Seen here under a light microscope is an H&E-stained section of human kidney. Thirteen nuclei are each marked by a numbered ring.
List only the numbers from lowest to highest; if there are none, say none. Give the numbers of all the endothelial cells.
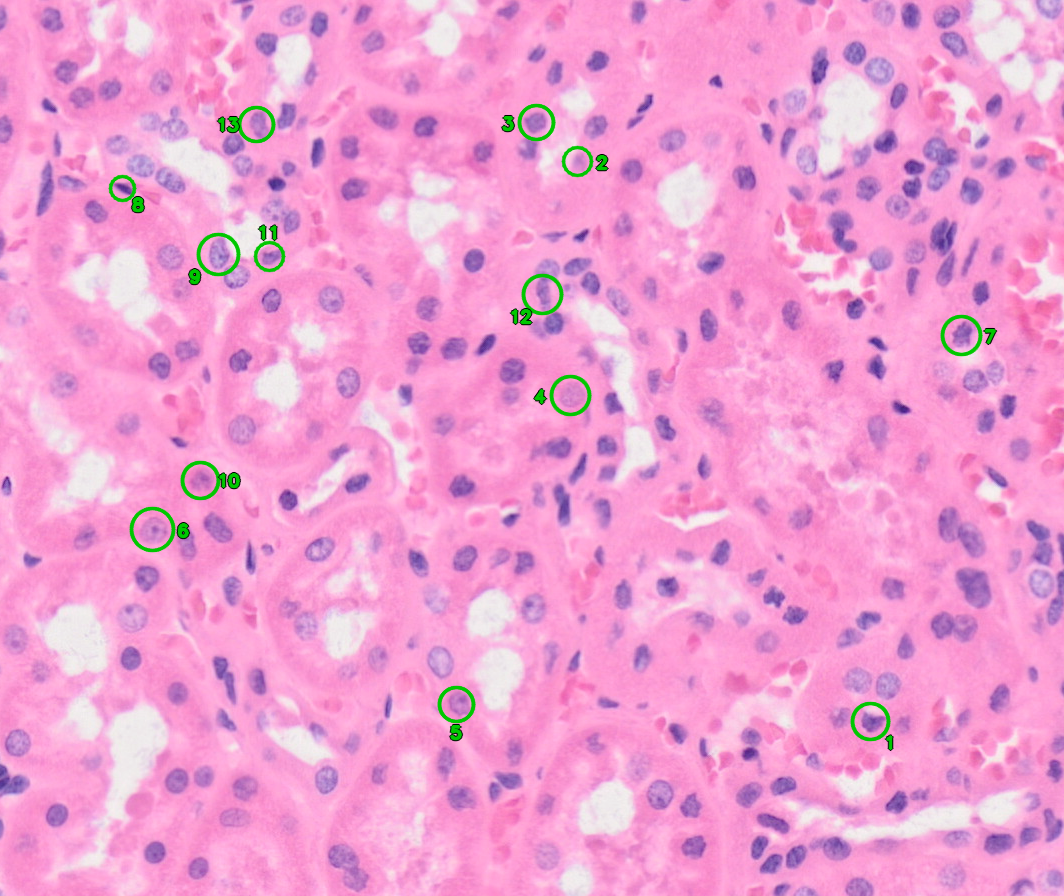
8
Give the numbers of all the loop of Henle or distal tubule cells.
1, 2, 3, 7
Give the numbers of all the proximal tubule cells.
4, 5, 6, 10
